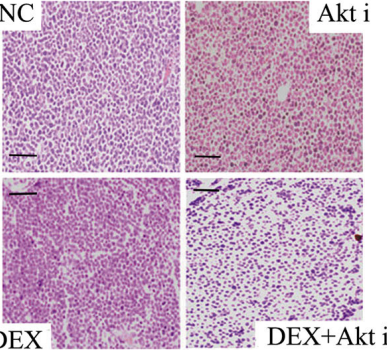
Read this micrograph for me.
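Four sections of tumor tissue, stained pink and purple, are laid out in a two-by-two grid. In three of them, small round cells with dark purple nuclei and scant pink cytoplasm are packed closely together in diffuse sheets, with no glandular or layered arrangement. In the lower right section the cells are set much farther apart, with pale pink spaces between the nuclei, so the tissue looks less cellular than in the other three.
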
